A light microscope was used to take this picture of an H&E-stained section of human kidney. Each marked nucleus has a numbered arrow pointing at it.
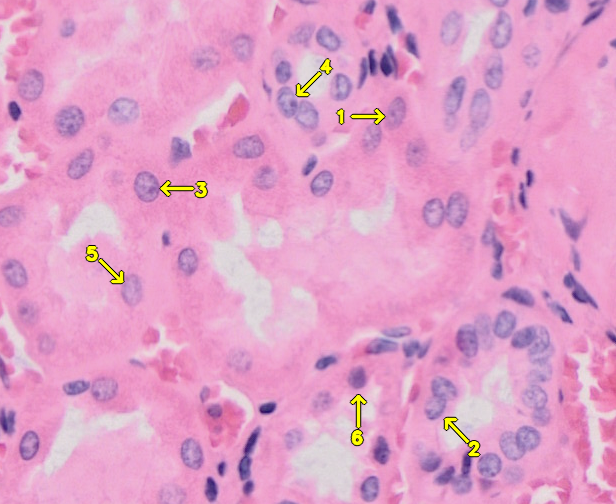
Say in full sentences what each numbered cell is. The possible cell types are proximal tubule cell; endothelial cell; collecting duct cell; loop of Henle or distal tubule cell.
Cells 1, 3 and 5 are proximal tubule cells. Cells 2 and 4 are collecting duct cells. Cell 6 is a loop of Henle or distal tubule cell.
